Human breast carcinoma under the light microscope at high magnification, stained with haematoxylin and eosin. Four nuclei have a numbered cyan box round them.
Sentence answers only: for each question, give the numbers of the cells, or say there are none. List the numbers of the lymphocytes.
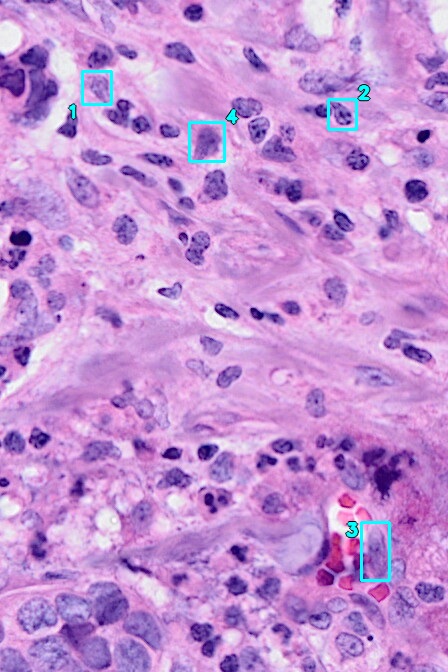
Cell 2 is a lymphocyte, while all remaining marked cells are of other types.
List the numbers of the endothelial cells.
Cell 3 is an endothelial cell, and it is the only numbered cell that is.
